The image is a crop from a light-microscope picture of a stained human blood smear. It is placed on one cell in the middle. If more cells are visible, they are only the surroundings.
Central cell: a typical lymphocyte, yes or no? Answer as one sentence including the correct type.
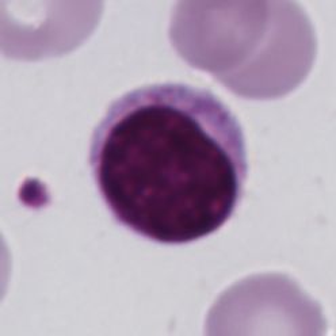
No, the cell in the middle is correctly named a large granular lymphocyte, not a typical lymphocyte.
